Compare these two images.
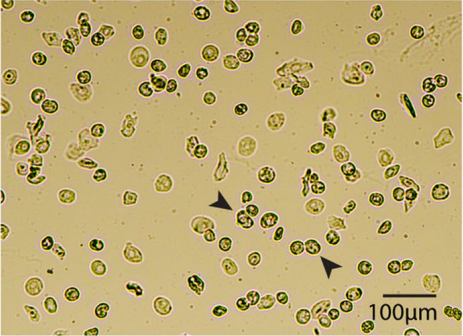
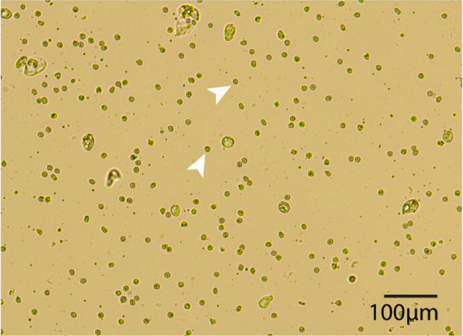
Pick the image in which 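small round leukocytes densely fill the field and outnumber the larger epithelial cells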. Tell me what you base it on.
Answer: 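Second image: many small round cells are spread densely across the field with only scattered larger cells. First image: most cells are larger round cells with dark nuclei, and small cells are few.
Hence: the second image.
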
